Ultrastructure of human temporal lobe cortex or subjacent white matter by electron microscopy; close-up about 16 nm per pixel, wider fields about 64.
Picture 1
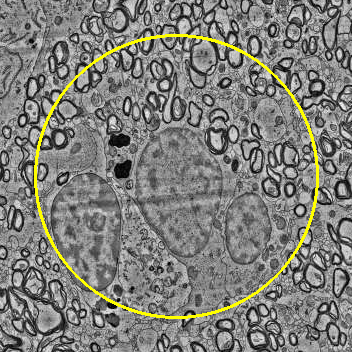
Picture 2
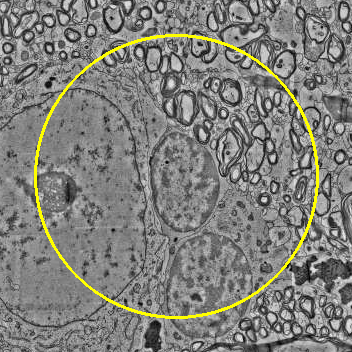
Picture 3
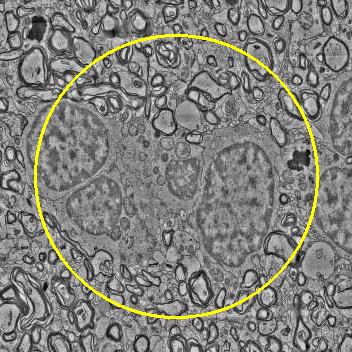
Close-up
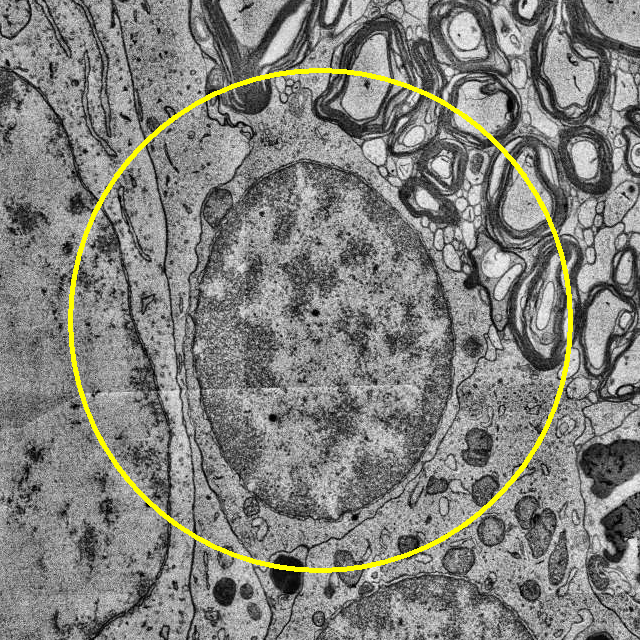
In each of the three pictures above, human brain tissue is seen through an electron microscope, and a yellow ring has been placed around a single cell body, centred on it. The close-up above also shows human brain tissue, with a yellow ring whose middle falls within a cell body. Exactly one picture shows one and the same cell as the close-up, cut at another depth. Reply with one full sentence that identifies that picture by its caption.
The close-up focuses on the cell marked by the ring in Picture 2.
